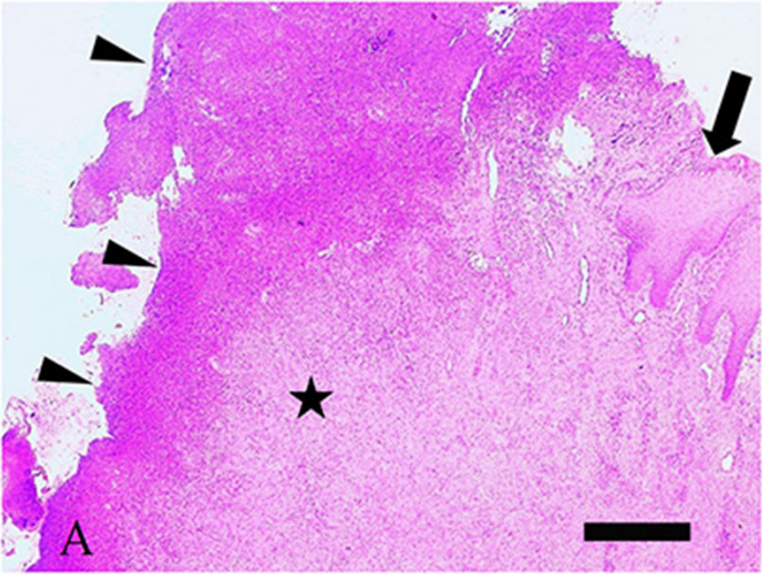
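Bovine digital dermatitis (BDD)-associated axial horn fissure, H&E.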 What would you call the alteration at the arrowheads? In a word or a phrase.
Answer: Ulceration covered by cellular debris.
